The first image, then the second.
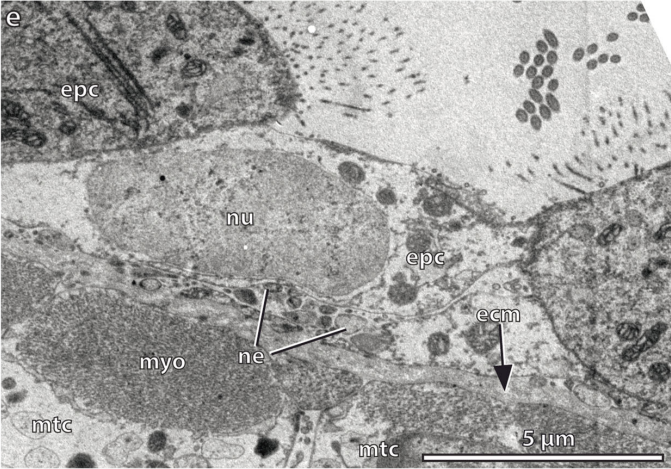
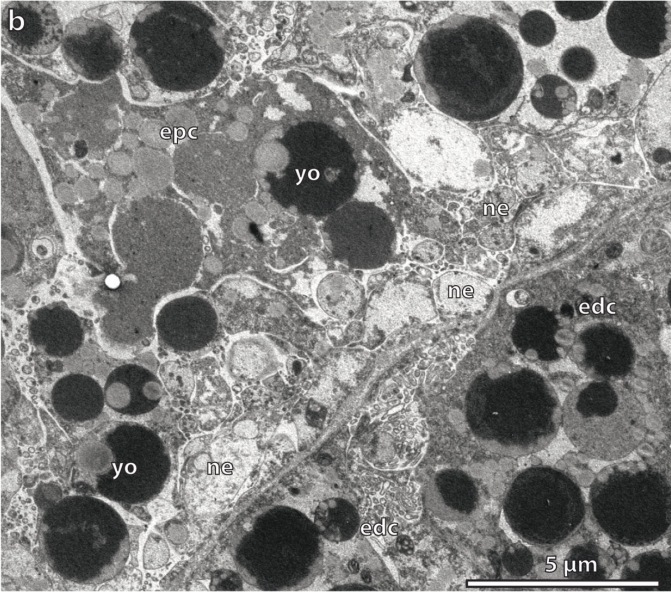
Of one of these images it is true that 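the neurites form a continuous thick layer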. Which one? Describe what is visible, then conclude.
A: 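The second image. First image: only a few small groups of neurite profiles lie at the base of the epidermis. Second image: a broad continuous band of pale neurite profiles runs diagonally across the field.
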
